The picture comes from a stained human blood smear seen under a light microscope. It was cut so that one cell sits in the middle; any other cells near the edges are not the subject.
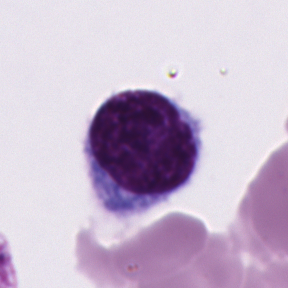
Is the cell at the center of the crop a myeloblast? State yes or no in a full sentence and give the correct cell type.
No, the central cell is counted as a hairy cell instead of a myeloblast.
